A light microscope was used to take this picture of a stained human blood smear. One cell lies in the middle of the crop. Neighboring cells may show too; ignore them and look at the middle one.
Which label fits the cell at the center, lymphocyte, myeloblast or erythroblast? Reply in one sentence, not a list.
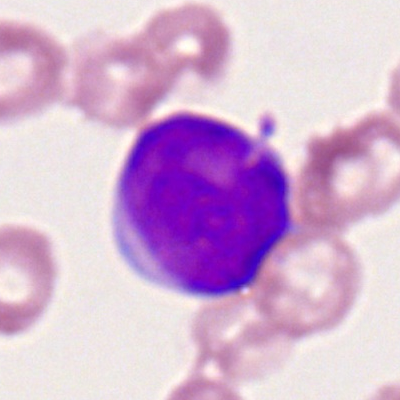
For this crop, the cell in the middle is a myeloblast.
